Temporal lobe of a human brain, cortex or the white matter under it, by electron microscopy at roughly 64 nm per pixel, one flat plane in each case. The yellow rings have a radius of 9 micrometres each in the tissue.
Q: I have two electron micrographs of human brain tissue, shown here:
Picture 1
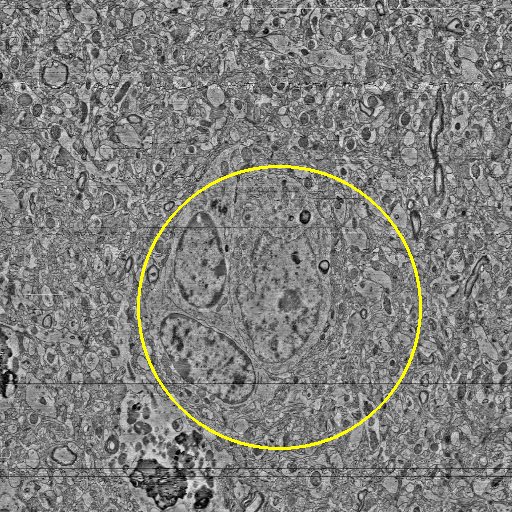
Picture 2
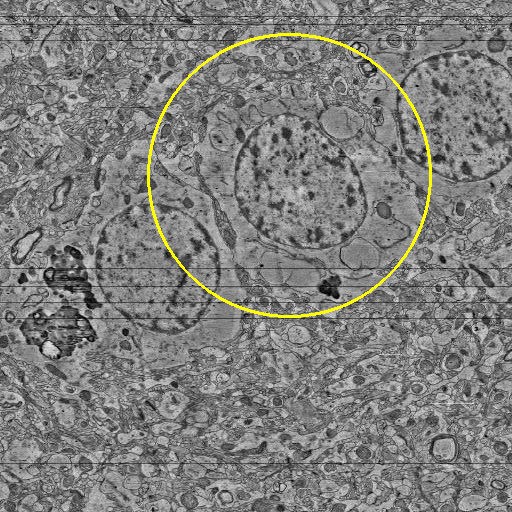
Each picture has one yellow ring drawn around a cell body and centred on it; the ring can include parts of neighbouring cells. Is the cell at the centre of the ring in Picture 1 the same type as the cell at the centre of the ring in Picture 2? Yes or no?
no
